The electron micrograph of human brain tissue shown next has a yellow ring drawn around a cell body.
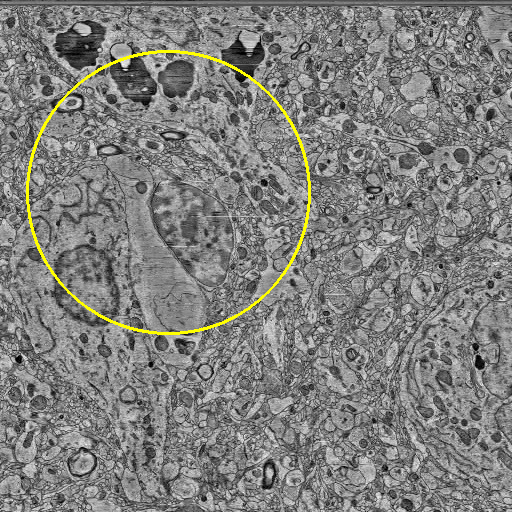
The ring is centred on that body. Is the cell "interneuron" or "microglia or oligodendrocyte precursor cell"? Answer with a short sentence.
The cell in question is a microglial cell or oligodendrocyte precursor cell.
